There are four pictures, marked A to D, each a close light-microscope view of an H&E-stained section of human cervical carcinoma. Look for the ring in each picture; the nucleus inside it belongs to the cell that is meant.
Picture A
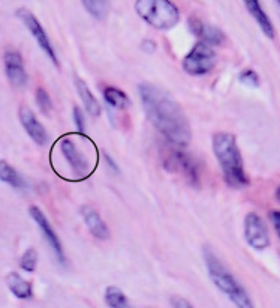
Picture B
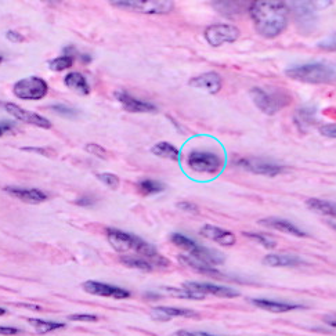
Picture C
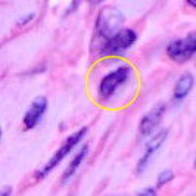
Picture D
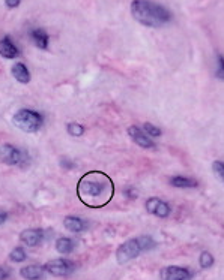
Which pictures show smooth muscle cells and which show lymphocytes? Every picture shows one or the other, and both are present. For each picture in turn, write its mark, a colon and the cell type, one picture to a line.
A: smooth muscle cell
B: lymphocyte
C: lymphocyte
D: smooth muscle cell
